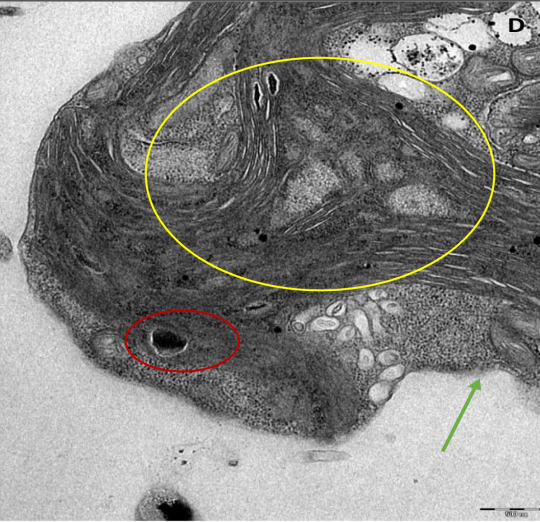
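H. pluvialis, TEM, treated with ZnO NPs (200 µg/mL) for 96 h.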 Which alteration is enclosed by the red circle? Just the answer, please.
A: Shrunken and deformed astaxanthin containing lipid vesicles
